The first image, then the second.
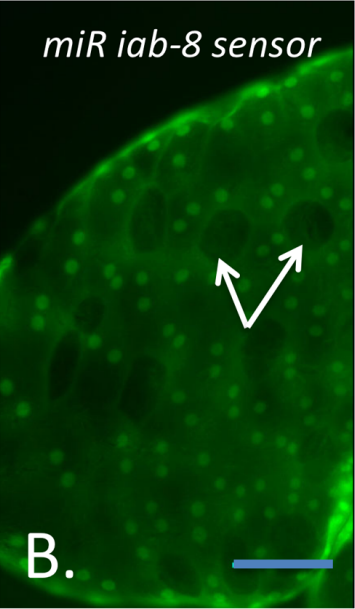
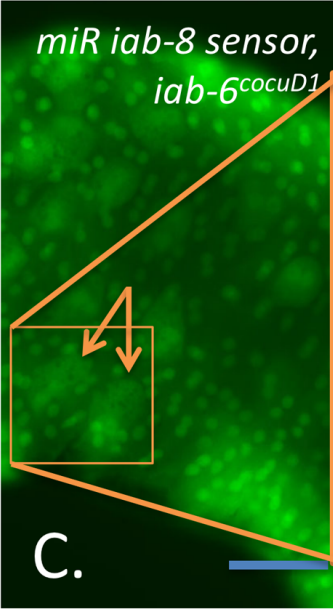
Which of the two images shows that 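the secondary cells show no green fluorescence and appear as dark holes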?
The first image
